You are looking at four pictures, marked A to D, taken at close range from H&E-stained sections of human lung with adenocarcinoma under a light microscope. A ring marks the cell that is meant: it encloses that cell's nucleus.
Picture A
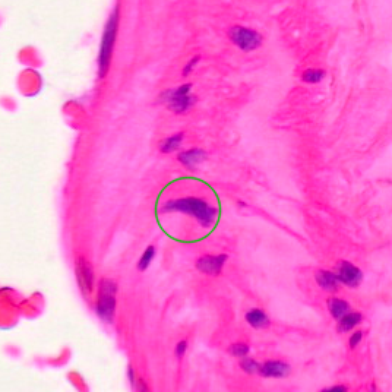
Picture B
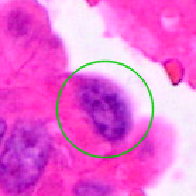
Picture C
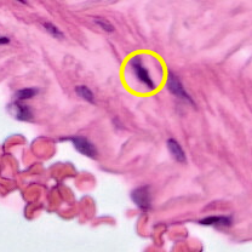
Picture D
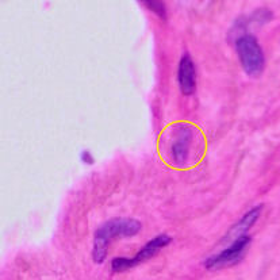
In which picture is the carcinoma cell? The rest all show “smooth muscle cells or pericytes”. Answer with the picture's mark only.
B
